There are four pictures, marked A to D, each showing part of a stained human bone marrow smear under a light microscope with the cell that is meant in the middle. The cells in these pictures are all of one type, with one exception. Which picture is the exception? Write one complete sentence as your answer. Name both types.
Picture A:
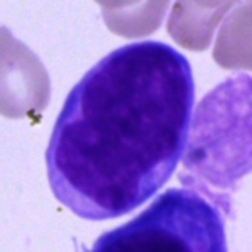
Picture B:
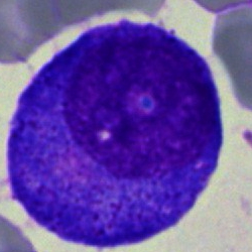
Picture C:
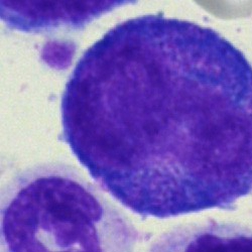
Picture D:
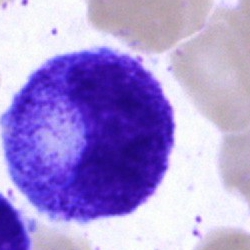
Picture A is the odd one out: it shows a blast, while the others show promyelocytes.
